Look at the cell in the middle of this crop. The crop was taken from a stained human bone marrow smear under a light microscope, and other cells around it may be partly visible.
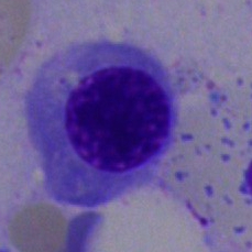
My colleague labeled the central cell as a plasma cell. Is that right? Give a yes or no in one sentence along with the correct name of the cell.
No, the cell in the middle is a normoblast, not a plasma cell.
